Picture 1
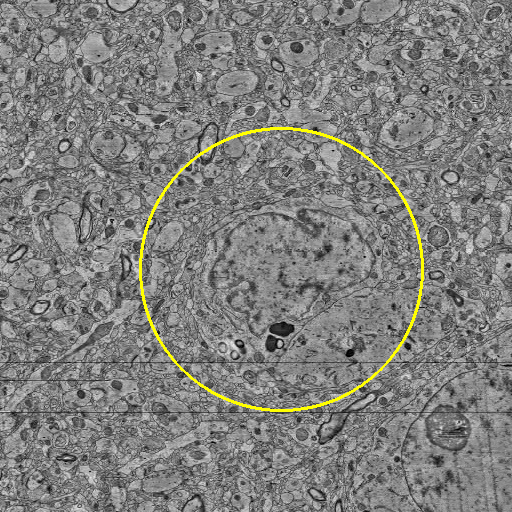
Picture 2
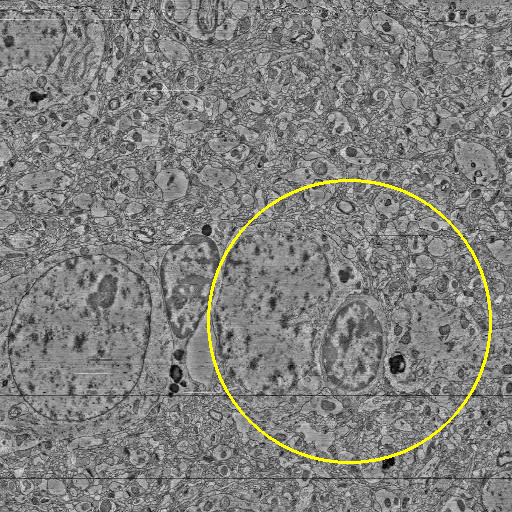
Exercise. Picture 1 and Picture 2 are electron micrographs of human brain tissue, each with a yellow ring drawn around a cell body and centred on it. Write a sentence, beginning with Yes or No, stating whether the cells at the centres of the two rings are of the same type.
No, the cells at the centres of the rings are of two types.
